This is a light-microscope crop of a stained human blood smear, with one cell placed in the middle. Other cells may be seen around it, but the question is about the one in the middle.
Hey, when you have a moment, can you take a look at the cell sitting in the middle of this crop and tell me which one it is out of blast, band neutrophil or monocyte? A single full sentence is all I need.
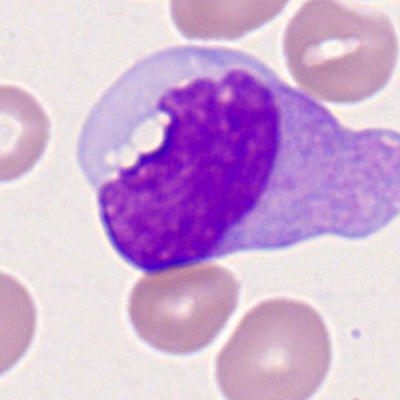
The central cell, amid any neighbouring cells, is a monocyte.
